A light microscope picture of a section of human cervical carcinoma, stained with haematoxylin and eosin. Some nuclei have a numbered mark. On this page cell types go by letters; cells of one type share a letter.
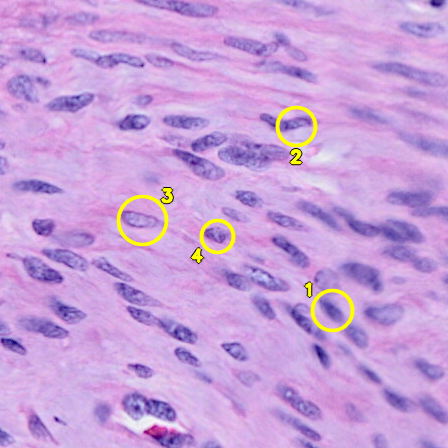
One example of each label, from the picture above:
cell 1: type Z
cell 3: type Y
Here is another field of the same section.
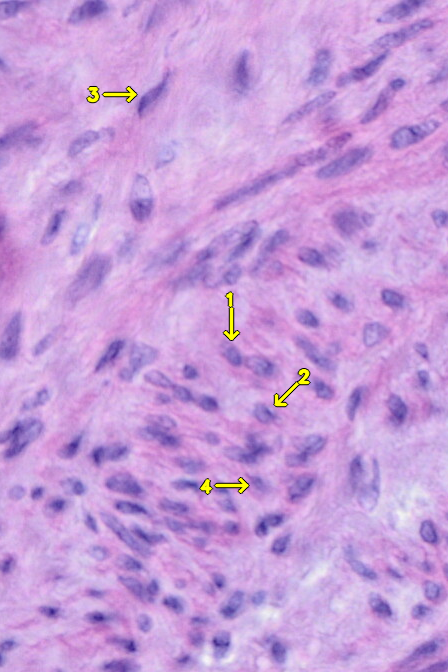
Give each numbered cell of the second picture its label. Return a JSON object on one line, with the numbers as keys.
{"1": "type Y", "2": "type Y", "3": "type Z", "4": "type Y"}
